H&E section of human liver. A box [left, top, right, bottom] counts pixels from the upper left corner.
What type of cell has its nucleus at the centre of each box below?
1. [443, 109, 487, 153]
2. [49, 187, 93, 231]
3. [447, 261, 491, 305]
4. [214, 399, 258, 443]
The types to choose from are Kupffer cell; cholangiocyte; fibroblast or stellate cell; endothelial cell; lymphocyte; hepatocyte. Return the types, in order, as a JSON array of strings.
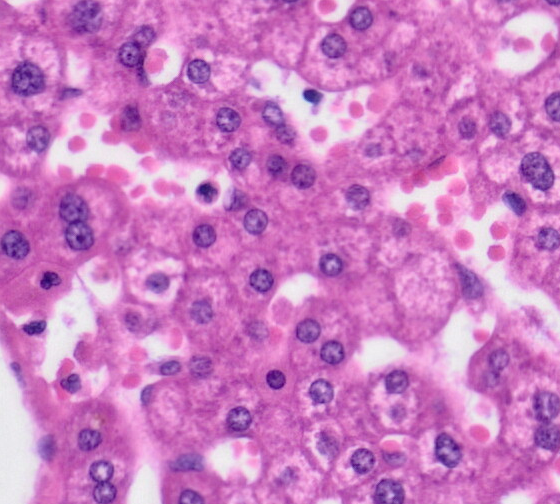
["hepatocyte", "hepatocyte", "Kupffer cell", "hepatocyte"]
